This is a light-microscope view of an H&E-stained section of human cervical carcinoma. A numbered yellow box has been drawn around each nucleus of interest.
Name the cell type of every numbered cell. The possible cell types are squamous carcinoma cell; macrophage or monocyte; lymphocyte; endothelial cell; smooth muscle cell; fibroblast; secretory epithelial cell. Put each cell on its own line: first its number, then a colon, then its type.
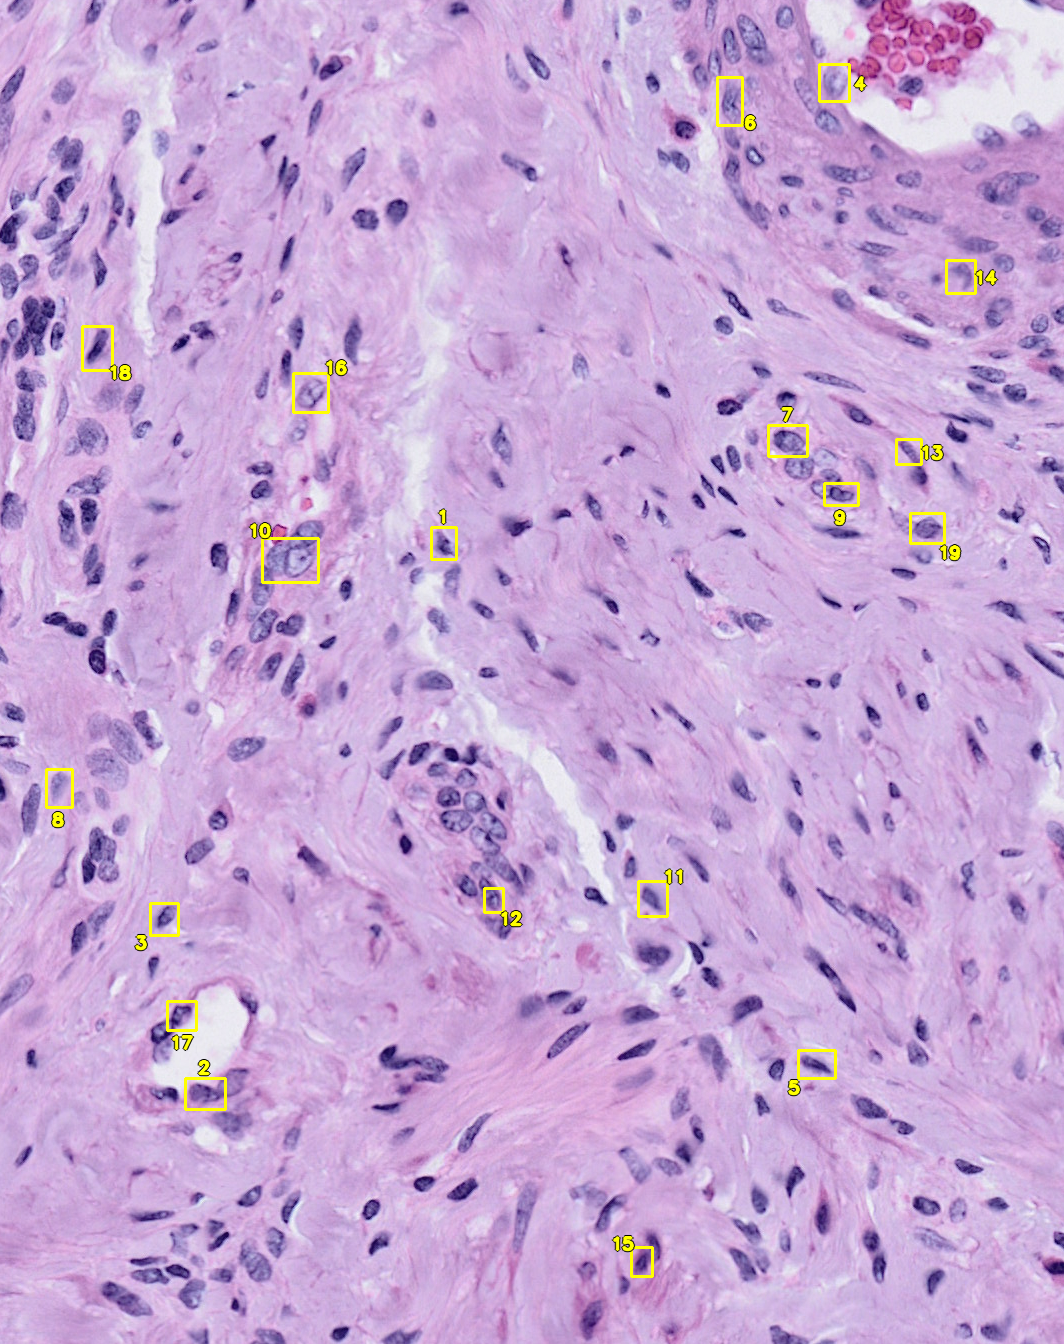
1: fibroblast
2: endothelial cell
3: fibroblast
4: endothelial cell
5: fibroblast
6: smooth muscle cell
7: endothelial cell
8: fibroblast
9: endothelial cell
10: endothelial cell
11: fibroblast
12: endothelial cell
13: smooth muscle cell
14: smooth muscle cell
15: smooth muscle cell
16: endothelial cell
17: endothelial cell
18: fibroblast
19: fibroblast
